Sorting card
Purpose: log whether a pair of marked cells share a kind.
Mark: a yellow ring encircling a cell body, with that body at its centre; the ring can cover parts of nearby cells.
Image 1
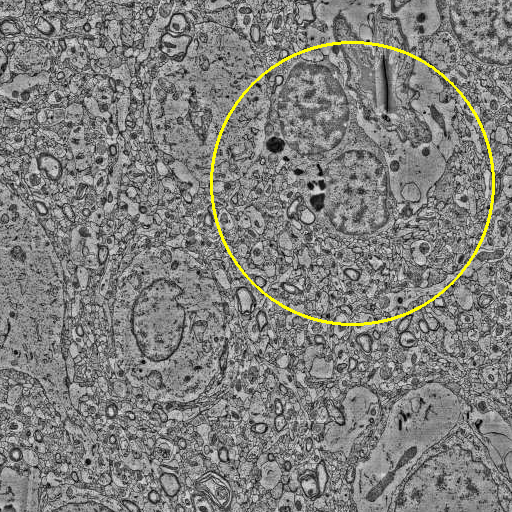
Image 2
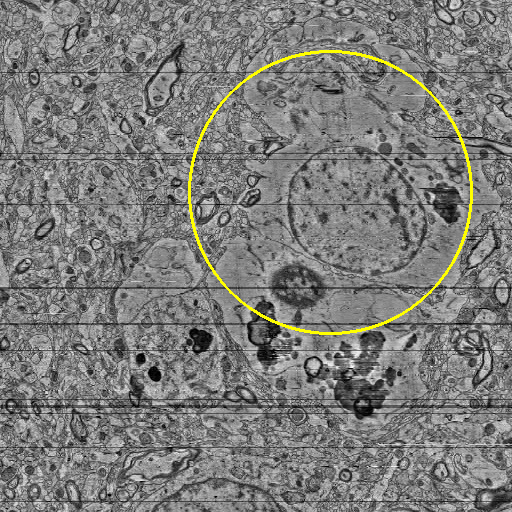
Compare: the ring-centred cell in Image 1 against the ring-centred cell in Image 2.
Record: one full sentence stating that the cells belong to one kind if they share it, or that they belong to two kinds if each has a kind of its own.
Across Images 1 and 2, the two ring-centred cells belong to two kinds.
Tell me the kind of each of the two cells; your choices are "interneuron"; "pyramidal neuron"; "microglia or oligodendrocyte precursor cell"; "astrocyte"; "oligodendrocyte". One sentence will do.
The ringed cell is an oligodendrocyte in the first picture and an astrocyte in the second picture.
